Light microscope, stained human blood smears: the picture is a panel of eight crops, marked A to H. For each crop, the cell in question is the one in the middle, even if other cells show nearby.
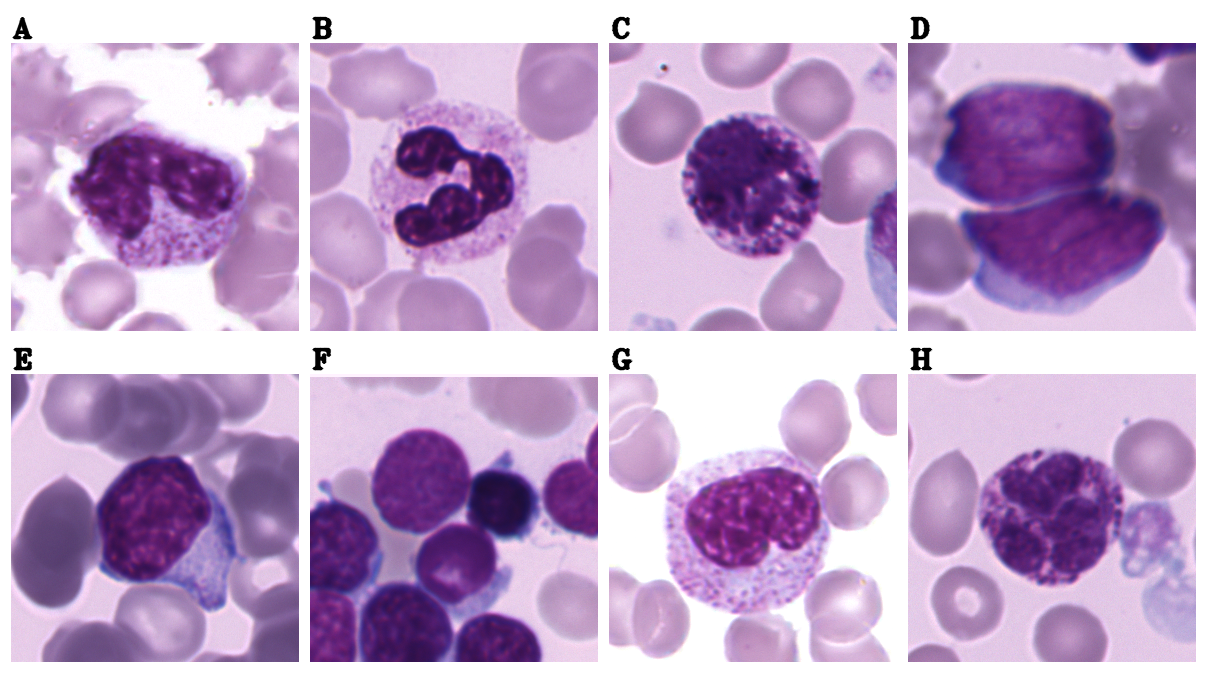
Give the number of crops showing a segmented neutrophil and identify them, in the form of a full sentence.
Of the crops presented, the one depicting a segmented neutrophil is crop B.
